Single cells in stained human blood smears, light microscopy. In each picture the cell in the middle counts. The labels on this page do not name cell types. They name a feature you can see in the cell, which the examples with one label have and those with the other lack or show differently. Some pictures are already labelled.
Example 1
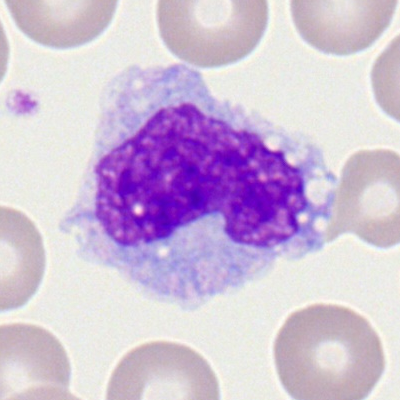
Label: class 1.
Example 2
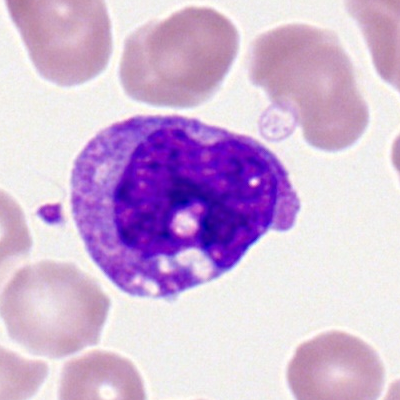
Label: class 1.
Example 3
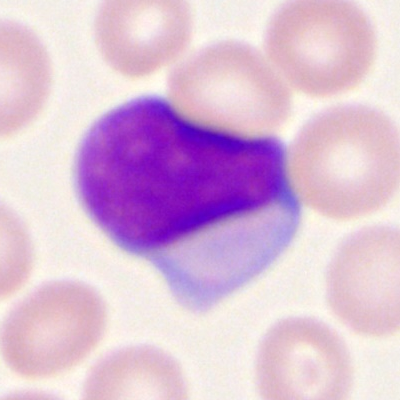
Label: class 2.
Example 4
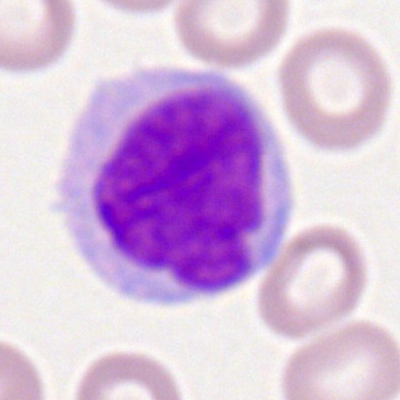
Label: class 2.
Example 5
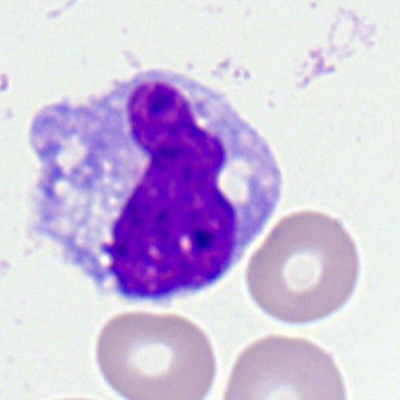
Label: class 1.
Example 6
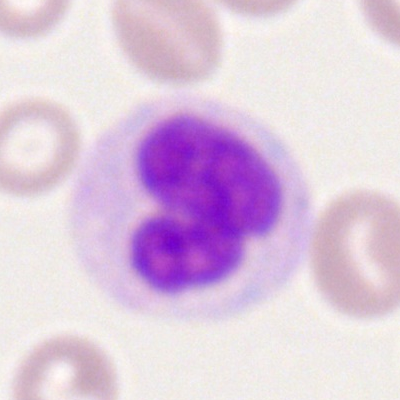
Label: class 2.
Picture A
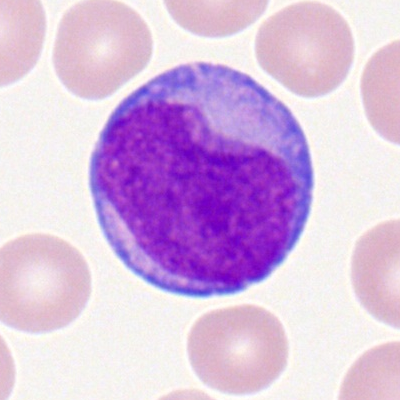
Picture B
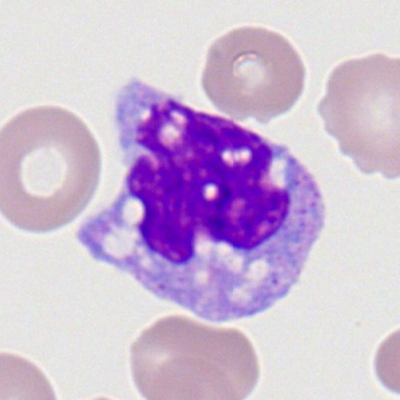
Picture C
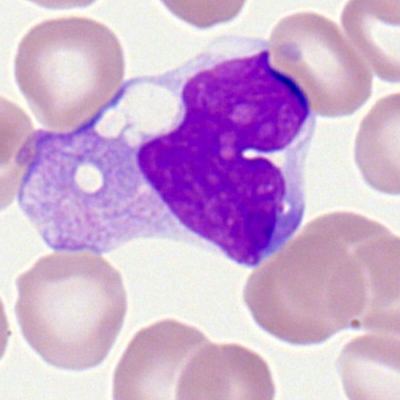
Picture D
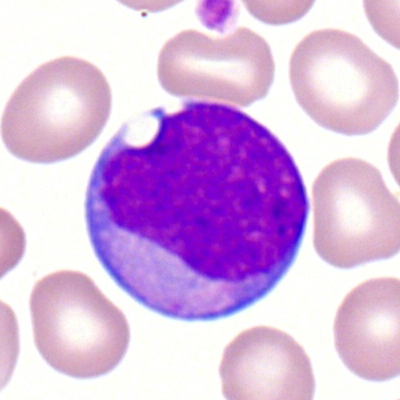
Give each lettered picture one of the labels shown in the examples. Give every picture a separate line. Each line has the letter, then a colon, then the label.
A: class 2.
B: class 1.
C: class 1.
D: class 1.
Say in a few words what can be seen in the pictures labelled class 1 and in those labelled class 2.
Seen in class 1: vacuoles present; seen in class 2: no vacuoles.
